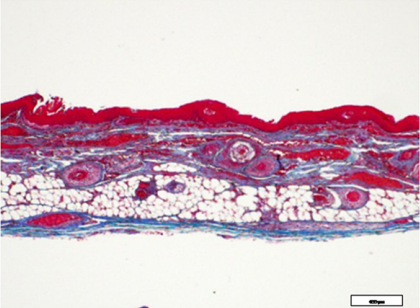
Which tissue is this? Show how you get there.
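A red keratinized epidermal layer along the top surface. Dermis with blue-staining fibres beneath it. A layer of white fat vacuoles deeper down. So: Skin tissue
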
